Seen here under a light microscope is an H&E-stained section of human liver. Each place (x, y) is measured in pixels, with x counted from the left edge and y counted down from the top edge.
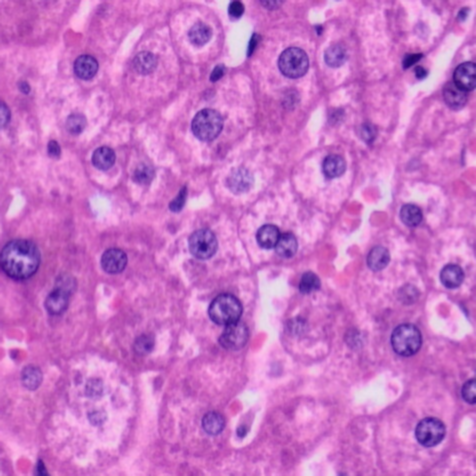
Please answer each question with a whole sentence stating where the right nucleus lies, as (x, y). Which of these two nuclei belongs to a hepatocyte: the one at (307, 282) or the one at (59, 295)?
Of the two options, the nucleus at (59, 295) is the one that belongs to a hepatocyte.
